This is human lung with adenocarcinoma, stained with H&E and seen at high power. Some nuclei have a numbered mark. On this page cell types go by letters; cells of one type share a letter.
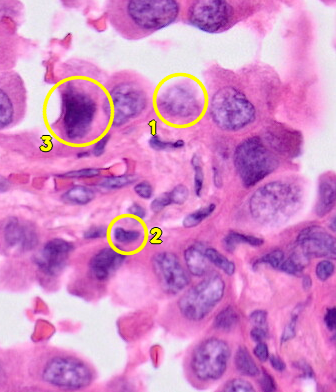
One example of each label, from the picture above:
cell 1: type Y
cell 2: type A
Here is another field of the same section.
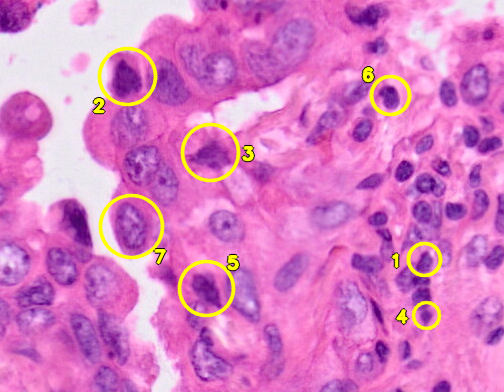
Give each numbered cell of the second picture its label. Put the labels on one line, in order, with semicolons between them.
type A; type Y; type Y; type A; type Y; type A; type Y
